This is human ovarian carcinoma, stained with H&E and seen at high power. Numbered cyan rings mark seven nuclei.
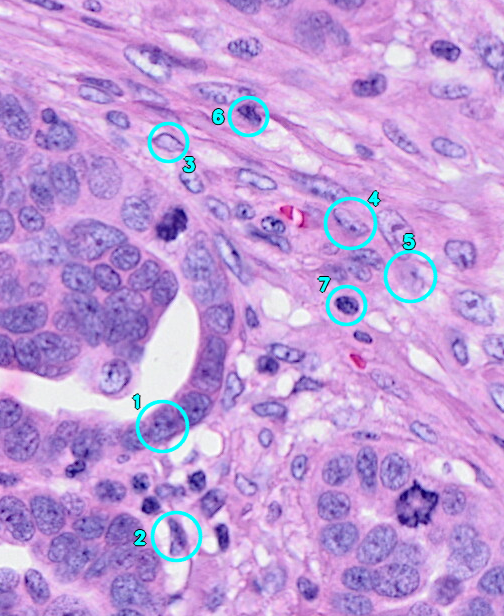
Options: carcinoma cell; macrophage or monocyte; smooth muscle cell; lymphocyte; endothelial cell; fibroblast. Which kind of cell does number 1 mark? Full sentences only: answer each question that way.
Cell number 1 in this section is a carcinoma cell.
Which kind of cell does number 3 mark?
Nucleus 3 in this section belongs to a fibroblast.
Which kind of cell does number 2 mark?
The cell referred to as 2 is a macrophage or monocyte.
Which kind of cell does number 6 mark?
Denoted by the label 6 in the section is a macrophage or monocyte.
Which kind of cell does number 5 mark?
Heads up, the cell numbered 5 is a fibroblast.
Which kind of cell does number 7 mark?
The cell carrying label 7 is identified as a lymphocyte.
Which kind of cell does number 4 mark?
In the tissue shown, cell 4 is a fibroblast.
